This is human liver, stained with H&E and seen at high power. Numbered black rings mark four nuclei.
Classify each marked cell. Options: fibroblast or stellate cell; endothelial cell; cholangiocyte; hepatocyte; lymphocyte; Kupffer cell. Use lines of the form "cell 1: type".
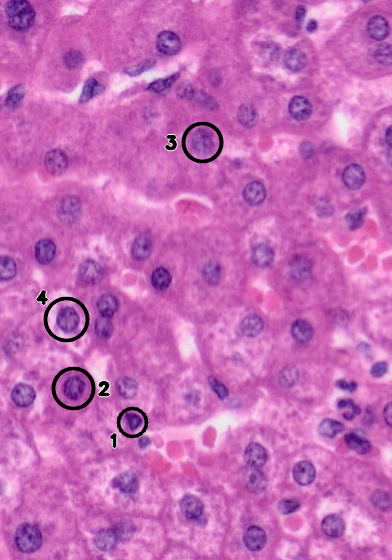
cell 1: fibroblast or stellate cell
cell 2: hepatocyte
cell 3: hepatocyte
cell 4: hepatocyte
